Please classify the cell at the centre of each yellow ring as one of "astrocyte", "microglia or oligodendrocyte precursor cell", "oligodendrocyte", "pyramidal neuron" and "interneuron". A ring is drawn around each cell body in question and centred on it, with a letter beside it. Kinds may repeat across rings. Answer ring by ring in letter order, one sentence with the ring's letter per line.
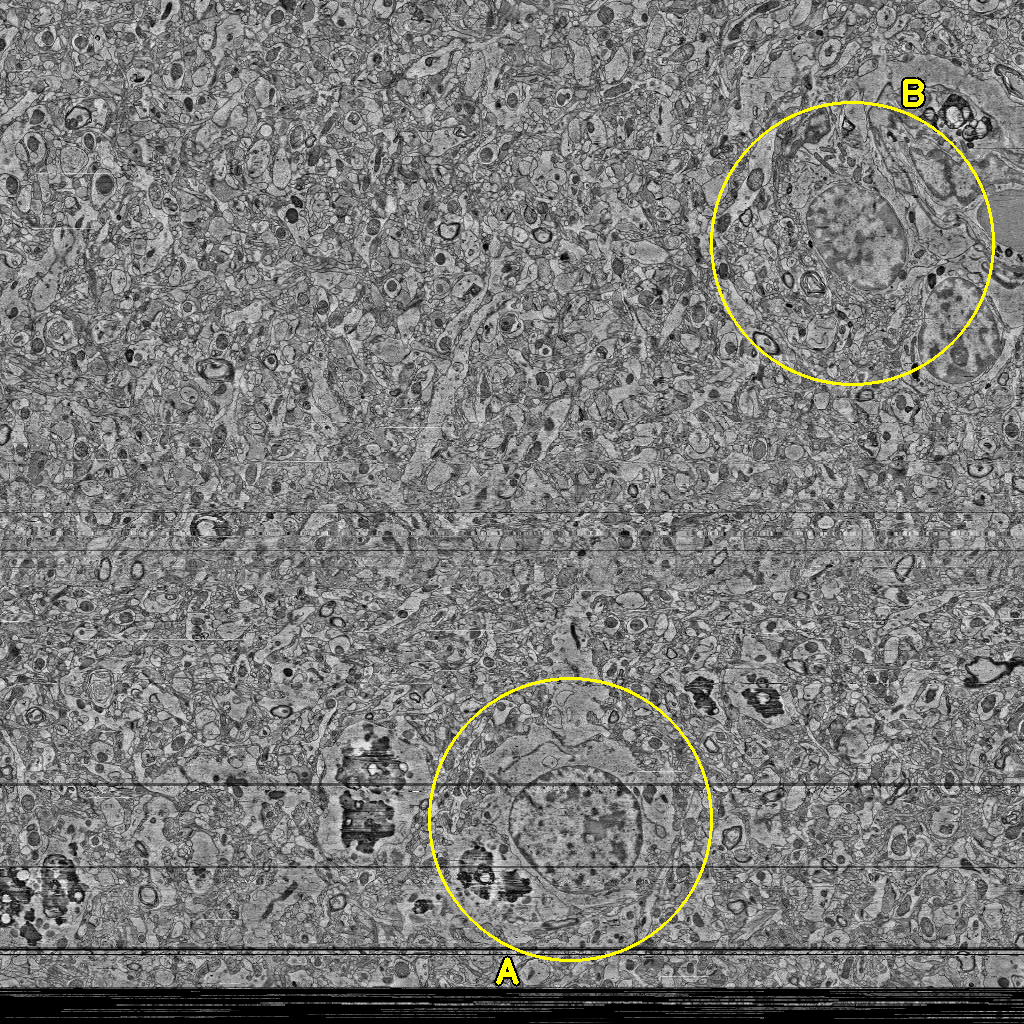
The cell at the heart of ring A is an astrocyte.
The cell at the heart of ring B is an oligodendrocyte.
